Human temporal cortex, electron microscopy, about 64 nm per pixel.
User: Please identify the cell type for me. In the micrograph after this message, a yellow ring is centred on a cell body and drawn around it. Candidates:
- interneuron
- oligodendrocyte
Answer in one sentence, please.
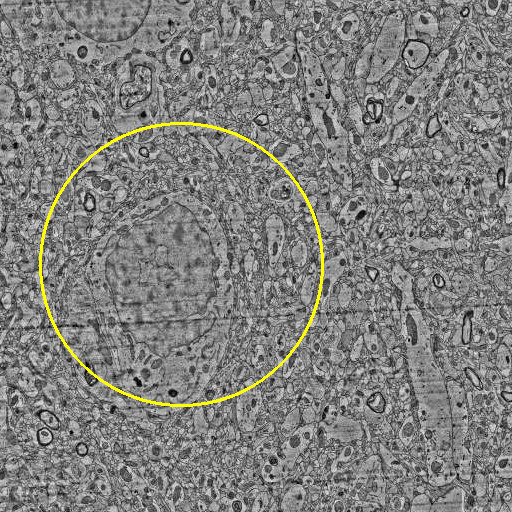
The ring is drawn around the cell body of an interneuron.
